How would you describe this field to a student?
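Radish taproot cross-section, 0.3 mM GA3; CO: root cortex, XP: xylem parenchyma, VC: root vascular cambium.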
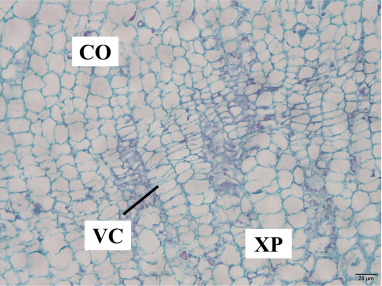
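Blue-green-walled plant cells are arranged in radial files, with small flattened cells in a zone that takes a purplish tint, between rounded larger cells above and below. Several cells in and near this zone contain purple-stained contents.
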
